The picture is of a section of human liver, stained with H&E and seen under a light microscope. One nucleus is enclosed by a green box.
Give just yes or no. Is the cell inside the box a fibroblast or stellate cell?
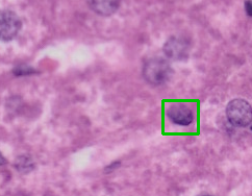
no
